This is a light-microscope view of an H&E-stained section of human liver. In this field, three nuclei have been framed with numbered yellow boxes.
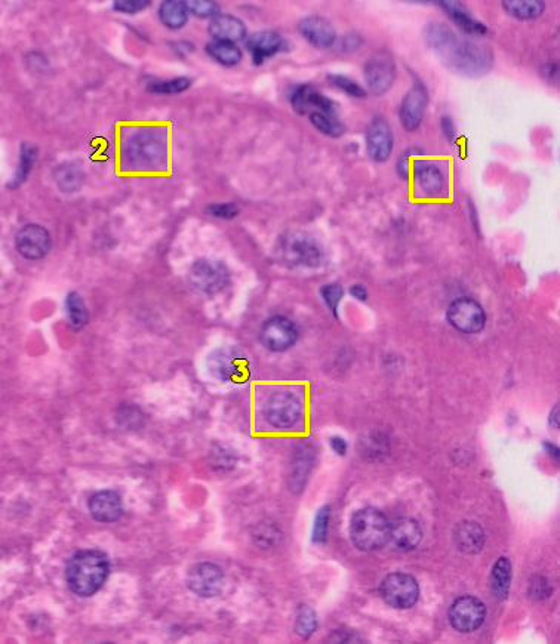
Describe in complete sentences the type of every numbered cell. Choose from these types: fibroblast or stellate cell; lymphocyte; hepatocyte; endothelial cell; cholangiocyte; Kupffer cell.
Cell 1 is a cholangiocyte, cell 2 is a hepatocyte and cell 3 is a hepatocyte.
